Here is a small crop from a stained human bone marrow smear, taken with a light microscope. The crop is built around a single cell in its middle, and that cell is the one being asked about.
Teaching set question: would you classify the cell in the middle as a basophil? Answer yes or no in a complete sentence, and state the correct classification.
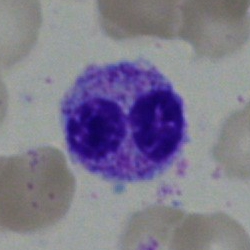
No, in this crop the middle cell is a segmented neutrophil, not a basophil.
